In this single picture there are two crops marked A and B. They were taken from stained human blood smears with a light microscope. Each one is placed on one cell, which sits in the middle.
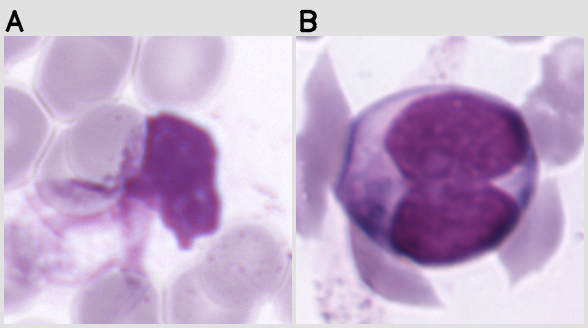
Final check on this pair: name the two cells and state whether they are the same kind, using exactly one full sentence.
No, look again: crop A shows a smudge cell, and crop B shows a myeloblast.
